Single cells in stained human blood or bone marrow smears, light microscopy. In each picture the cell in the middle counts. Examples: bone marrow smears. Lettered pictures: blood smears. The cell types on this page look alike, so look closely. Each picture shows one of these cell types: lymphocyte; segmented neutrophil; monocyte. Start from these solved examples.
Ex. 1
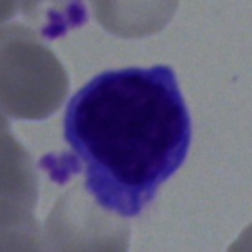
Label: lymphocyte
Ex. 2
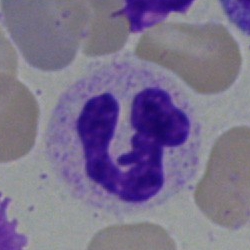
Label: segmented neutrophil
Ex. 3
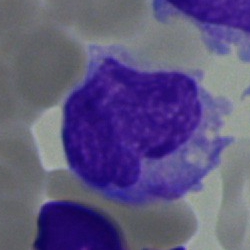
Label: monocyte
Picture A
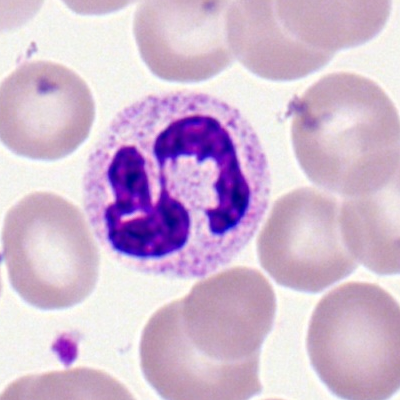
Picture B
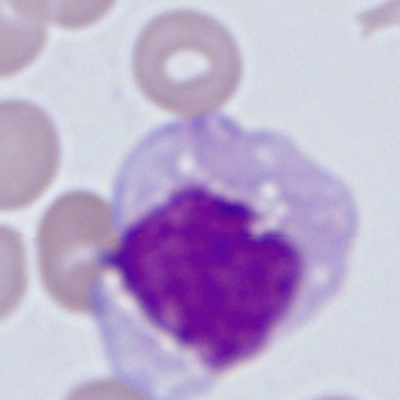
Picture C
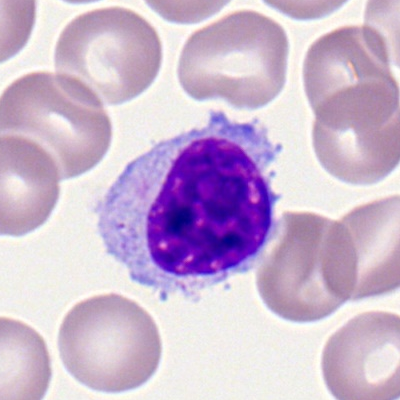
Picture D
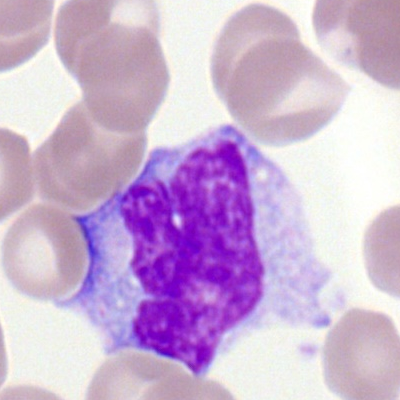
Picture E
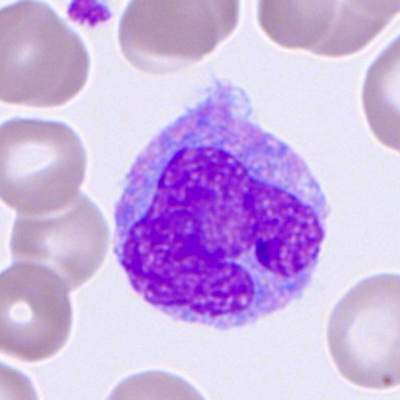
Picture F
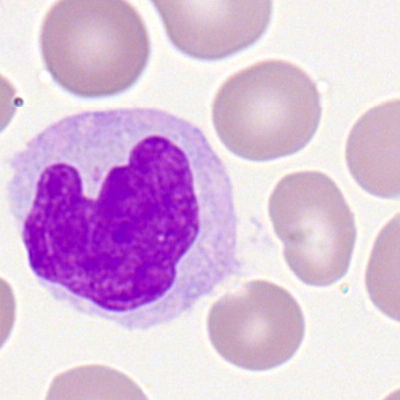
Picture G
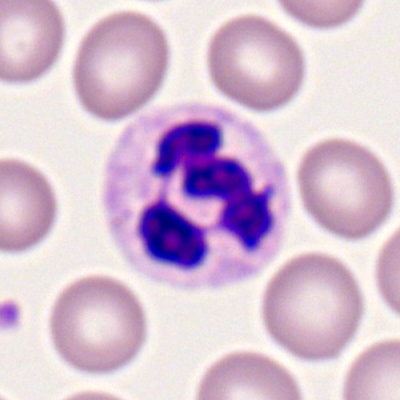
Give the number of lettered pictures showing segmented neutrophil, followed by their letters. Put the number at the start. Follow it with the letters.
Count: 2 (A, G)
